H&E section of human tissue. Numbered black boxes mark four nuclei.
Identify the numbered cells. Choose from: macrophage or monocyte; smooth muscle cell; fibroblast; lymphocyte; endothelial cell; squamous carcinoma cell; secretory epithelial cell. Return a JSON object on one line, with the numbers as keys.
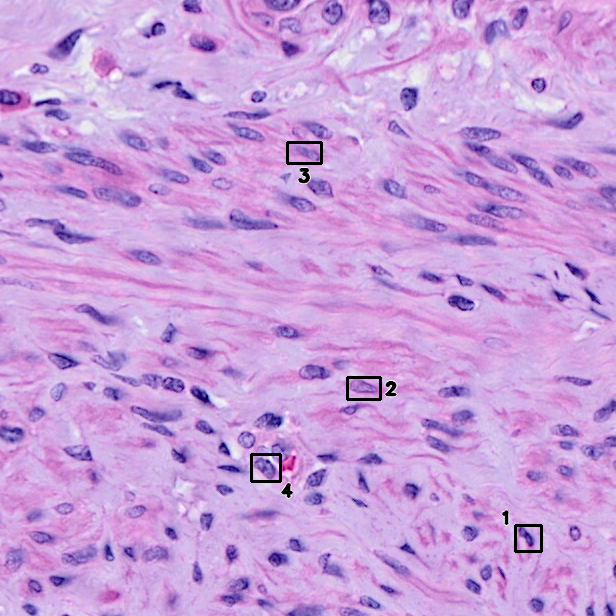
{"1": "smooth muscle cell", "2": "smooth muscle cell", "3": "smooth muscle cell", "4": "endothelial cell"}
